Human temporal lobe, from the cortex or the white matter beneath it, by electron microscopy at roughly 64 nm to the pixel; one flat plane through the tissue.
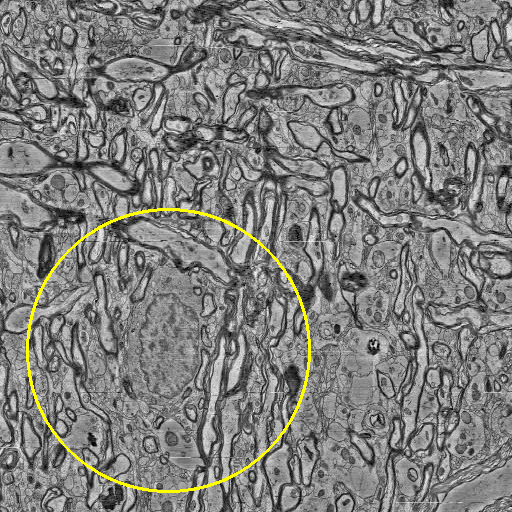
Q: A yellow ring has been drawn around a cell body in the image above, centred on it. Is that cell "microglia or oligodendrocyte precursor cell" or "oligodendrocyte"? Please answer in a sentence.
The ring surrounds the cell body of an oligodendrocyte.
